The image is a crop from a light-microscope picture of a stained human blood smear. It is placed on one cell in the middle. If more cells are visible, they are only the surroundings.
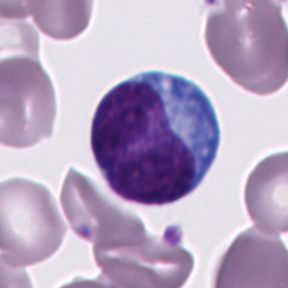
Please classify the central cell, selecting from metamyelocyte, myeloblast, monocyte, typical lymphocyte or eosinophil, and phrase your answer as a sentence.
Here the centrally located cell is a typical lymphocyte.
